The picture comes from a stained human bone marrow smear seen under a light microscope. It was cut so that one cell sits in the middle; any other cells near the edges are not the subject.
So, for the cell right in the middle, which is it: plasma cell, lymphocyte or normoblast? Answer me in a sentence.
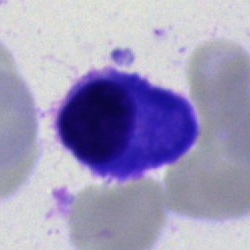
The central cell, amid any neighbouring cells, is a plasma cell.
